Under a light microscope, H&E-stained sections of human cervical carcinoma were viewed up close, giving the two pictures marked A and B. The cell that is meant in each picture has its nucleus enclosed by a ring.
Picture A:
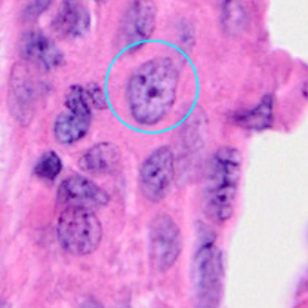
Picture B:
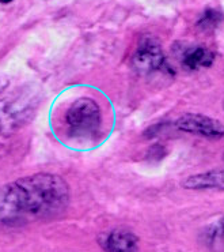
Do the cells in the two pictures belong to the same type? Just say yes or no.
no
